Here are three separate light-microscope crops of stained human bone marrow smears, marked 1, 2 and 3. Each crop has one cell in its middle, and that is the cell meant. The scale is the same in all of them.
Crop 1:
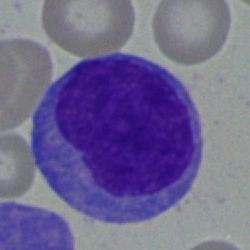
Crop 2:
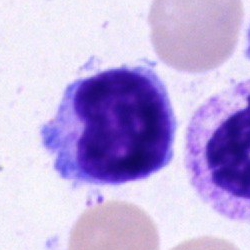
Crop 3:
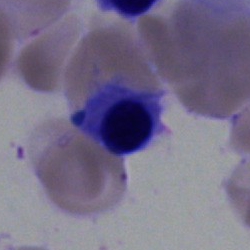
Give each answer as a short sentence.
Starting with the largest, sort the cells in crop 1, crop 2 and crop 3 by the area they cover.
From the largest down, the order is 1, 2, 3.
